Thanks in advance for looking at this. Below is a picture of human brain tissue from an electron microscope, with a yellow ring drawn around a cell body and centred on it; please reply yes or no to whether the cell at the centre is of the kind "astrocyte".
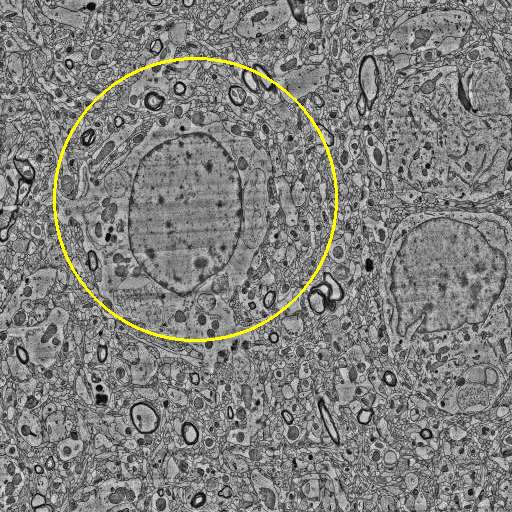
yes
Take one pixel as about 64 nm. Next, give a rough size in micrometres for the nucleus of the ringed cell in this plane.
In this plane the nucleus is about 10 micrometres by 7.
